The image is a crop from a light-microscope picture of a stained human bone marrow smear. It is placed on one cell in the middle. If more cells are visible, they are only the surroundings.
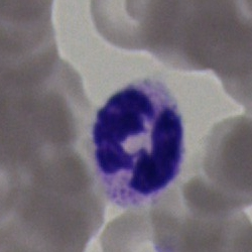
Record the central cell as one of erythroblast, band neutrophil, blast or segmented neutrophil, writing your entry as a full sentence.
On this slide crop, the central cell is a segmented neutrophil.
